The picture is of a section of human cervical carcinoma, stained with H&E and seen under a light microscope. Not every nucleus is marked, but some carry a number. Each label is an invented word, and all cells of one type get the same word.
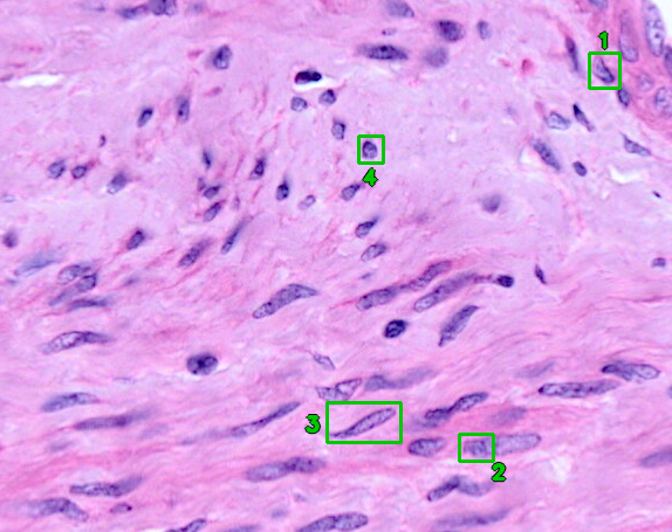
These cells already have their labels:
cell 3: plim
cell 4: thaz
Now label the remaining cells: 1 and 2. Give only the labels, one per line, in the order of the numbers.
plim
plim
